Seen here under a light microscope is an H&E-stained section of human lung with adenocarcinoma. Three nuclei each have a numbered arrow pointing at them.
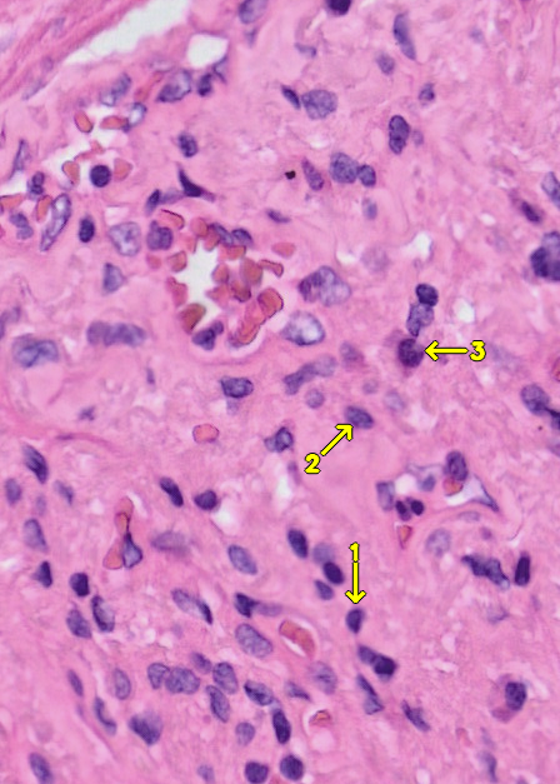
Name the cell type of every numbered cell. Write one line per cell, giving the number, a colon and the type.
1: lymphocyte
2: mast cell
3: plasma cell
